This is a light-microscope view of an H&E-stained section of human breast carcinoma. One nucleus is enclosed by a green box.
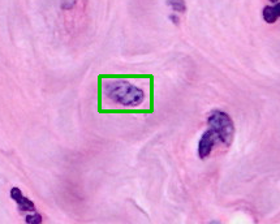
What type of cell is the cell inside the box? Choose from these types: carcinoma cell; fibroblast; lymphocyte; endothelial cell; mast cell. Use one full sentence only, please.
Among the cells in this section, the cell inside the box is a mast cell.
